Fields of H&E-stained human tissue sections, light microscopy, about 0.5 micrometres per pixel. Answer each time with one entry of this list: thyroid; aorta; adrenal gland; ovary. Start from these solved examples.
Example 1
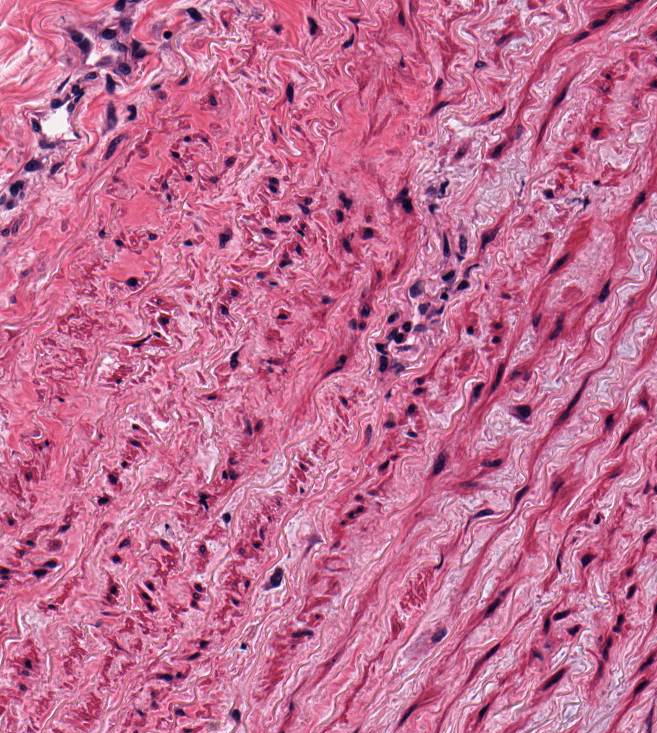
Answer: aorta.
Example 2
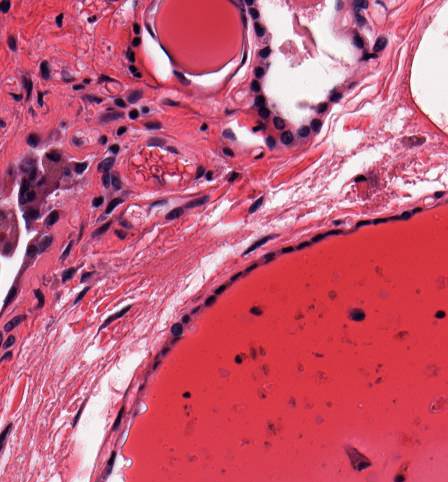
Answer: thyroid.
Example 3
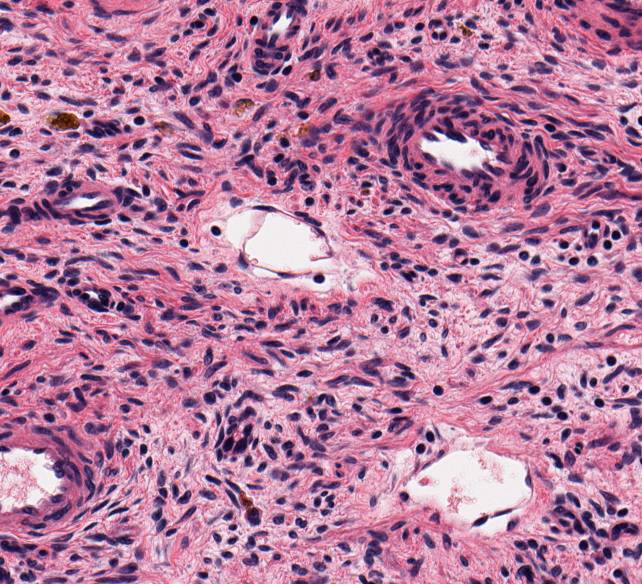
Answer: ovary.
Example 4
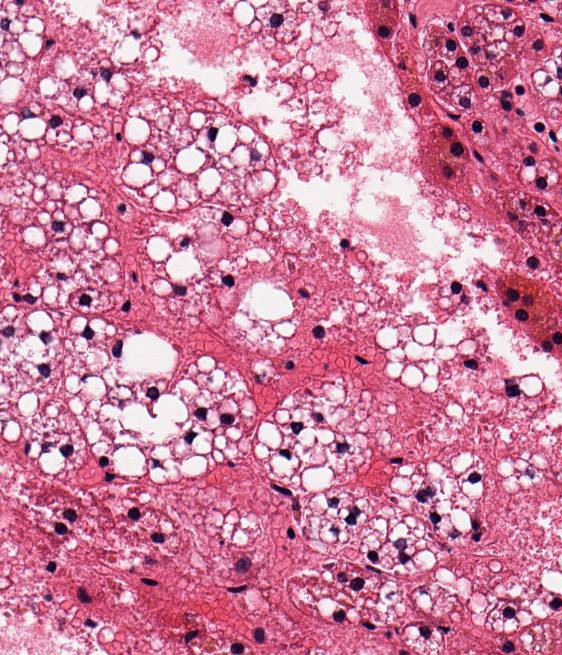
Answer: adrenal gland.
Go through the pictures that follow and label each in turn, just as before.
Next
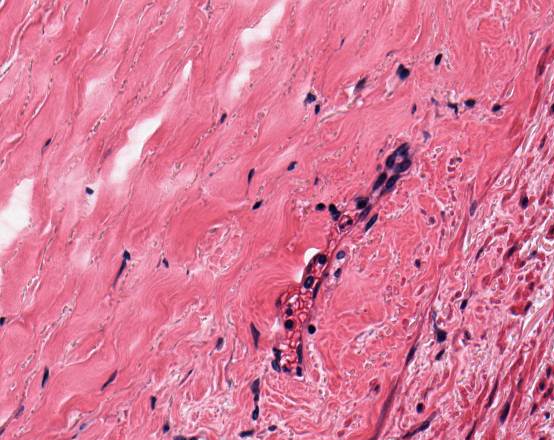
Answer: aorta.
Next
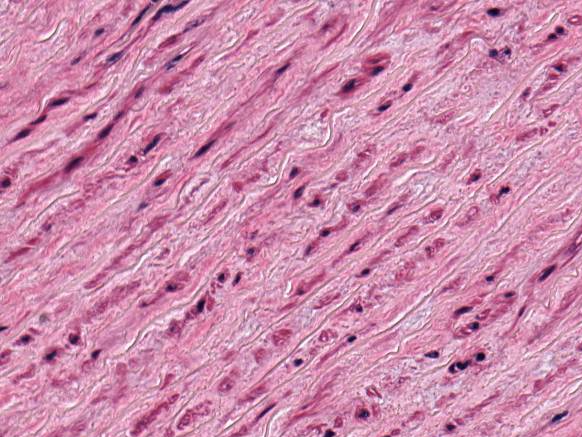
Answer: aorta.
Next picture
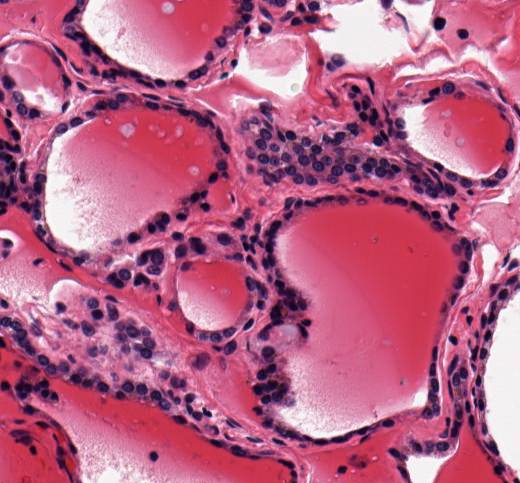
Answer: thyroid.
